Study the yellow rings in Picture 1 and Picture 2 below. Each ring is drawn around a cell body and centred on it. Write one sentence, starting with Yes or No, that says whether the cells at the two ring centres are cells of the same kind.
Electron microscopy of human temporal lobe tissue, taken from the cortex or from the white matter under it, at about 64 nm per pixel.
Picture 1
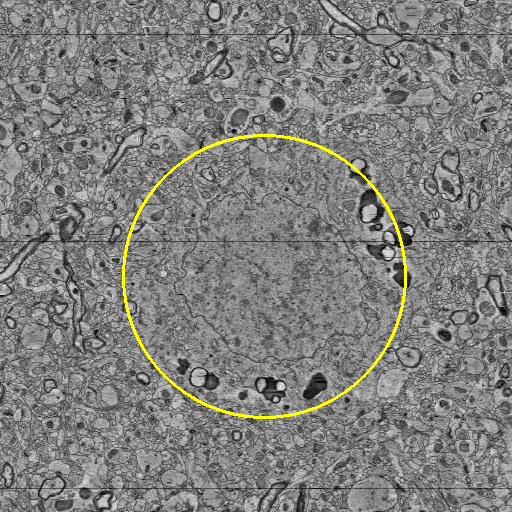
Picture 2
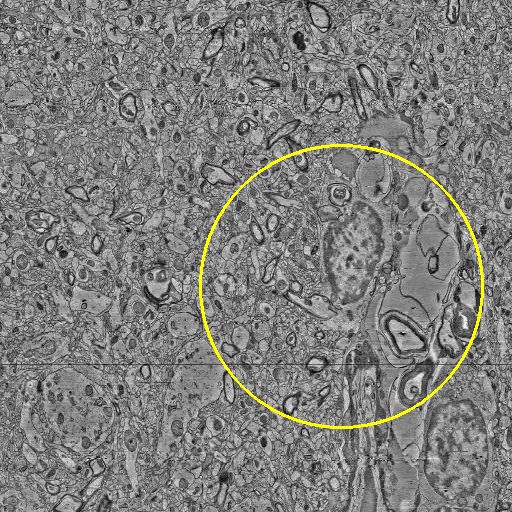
No, the cells at the ring centres are of two kinds.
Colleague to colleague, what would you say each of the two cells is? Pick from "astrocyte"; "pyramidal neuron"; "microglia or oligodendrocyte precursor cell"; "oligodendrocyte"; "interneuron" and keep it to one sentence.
The cell in the first picture is a pyramidal neuron; the second picture's cell is an oligodendrocyte.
